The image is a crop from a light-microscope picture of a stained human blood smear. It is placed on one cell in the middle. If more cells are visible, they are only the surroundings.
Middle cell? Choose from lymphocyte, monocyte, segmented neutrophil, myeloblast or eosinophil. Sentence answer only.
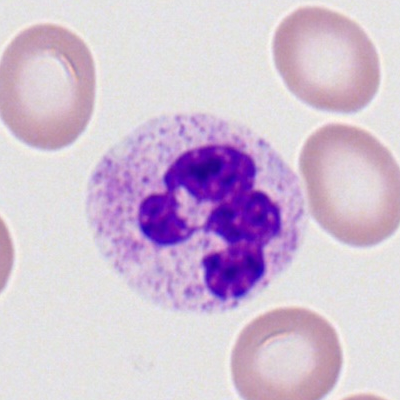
The cell in the middle of the field of view is a segmented neutrophil.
